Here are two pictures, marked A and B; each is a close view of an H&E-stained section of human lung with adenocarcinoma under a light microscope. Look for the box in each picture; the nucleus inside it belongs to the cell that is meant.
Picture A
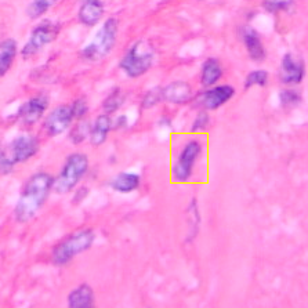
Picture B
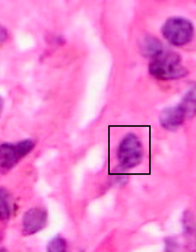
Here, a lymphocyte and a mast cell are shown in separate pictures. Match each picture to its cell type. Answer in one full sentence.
The cell in picture A is a mast cell, and the one in picture B is a lymphocyte.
